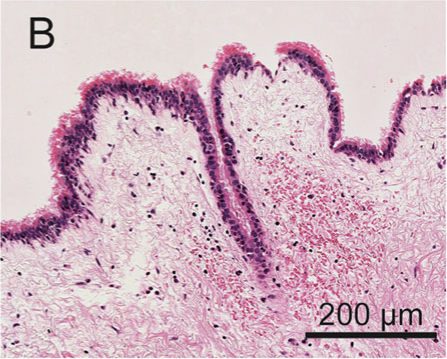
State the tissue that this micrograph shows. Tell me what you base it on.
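A single continuous epithelial layer with crowded, dark purple nuclei covers one surface of the tissue. A fine pink fringe projects from the free, apical surface of the epithelial cells. The epithelium rests on loose, pale pink connective tissue that forms folds.
Hence: ciliated epithelial lining.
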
